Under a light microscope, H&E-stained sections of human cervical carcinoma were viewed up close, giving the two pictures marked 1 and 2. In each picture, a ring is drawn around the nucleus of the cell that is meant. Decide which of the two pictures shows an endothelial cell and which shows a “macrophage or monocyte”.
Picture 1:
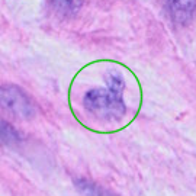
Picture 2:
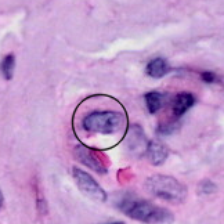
1: macrophage or monocyte
2: endothelial cell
